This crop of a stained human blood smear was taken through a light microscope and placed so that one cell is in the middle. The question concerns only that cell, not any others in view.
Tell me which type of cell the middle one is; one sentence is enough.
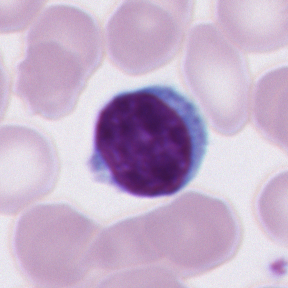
In this smear crop, the middle cell is a typical lymphocyte.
